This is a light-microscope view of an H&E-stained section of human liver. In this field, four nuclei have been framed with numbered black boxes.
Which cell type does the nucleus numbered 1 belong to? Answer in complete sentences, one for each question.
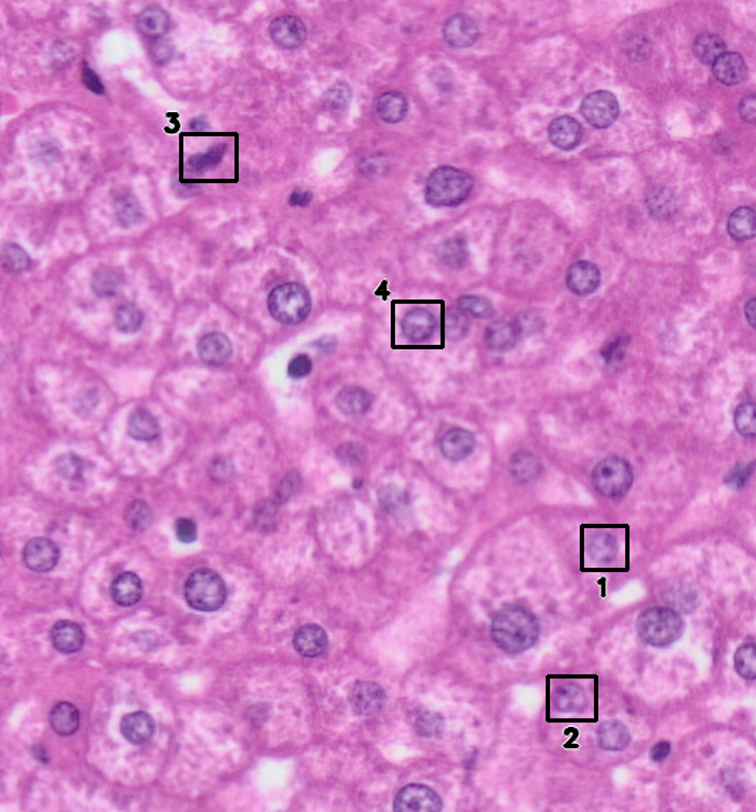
The one numbered 1 among the marked cells is a hepatocyte.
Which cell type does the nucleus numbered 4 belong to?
The cell identified by the number 4 is a hepatocyte.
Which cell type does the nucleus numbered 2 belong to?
At number 2, the marked cell is a hepatocyte.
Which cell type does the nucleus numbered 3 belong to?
Cell 3 of the marked set is a fibroblast or stellate cell.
